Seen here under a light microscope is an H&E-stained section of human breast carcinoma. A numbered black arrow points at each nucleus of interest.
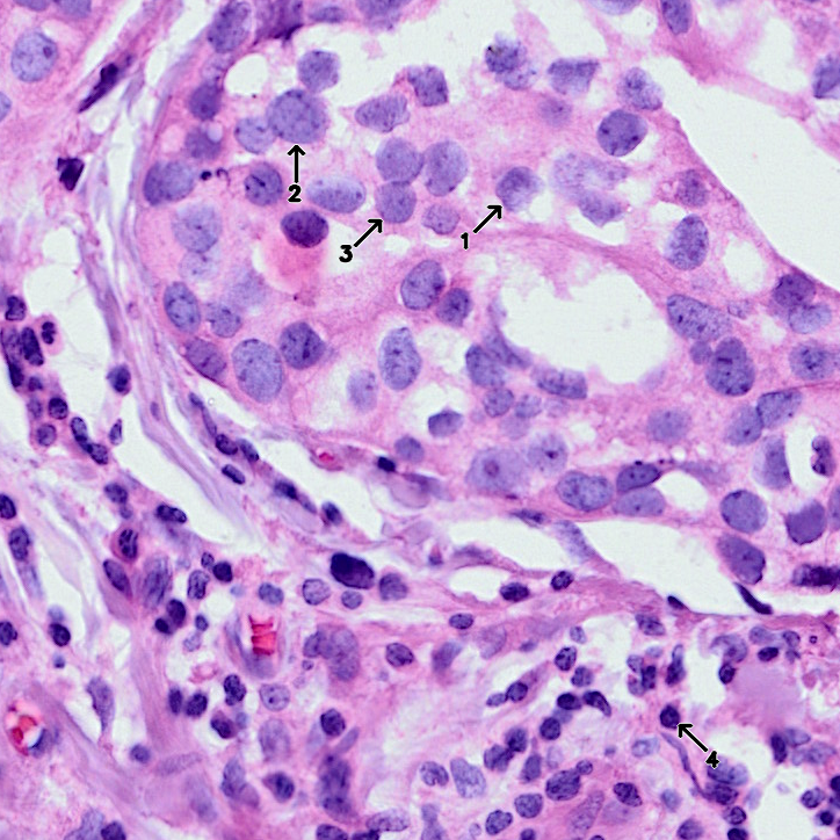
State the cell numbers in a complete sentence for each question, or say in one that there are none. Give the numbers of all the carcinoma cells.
The numbers 1, 2 and 3 mark cells that are carcinoma cells.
